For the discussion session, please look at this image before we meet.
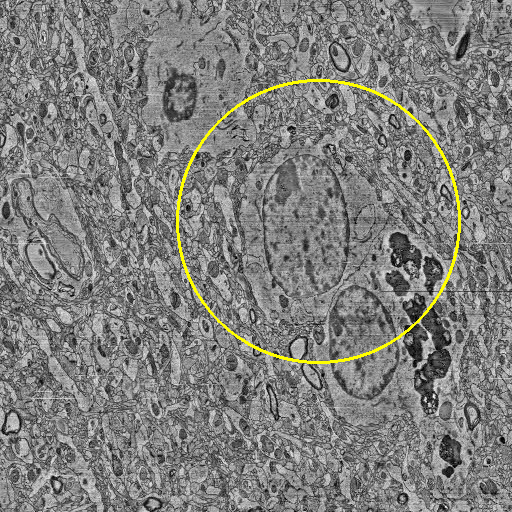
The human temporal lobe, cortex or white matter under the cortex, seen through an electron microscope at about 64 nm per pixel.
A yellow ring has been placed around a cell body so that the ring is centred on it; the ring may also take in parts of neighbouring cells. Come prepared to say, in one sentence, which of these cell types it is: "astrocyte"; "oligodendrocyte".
The cell centred in the ring is an astrocyte.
